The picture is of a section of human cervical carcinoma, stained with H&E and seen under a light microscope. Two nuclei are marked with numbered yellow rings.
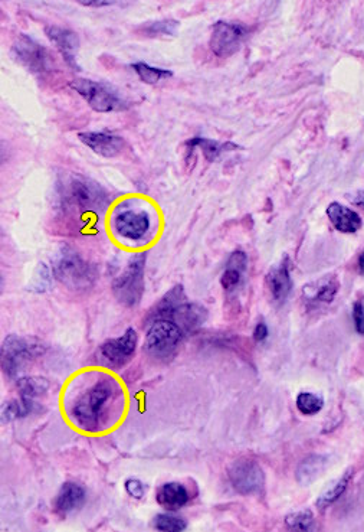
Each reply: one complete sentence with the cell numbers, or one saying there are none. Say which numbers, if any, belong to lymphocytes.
Cell 2 is the single numbered cell that is a lymphocyte.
